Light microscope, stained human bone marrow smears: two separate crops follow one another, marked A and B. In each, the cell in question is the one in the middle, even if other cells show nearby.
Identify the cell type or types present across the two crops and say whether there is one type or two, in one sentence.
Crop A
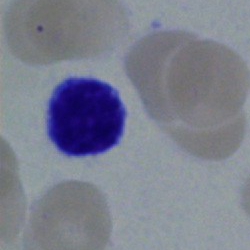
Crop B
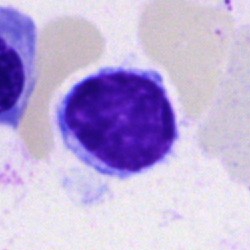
Yes, both crops here show lymphocytes, the pair of them.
